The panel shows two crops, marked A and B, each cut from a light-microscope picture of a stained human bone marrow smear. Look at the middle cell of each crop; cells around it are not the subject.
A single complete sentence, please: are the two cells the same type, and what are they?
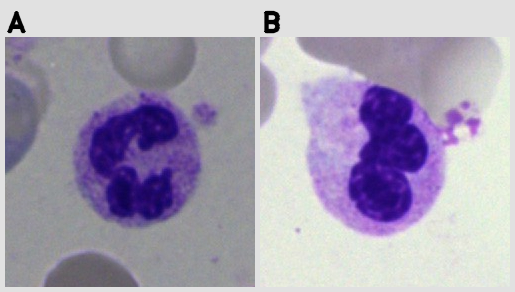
Yes, both crops show a cell each, and these are segmented neutrophils.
